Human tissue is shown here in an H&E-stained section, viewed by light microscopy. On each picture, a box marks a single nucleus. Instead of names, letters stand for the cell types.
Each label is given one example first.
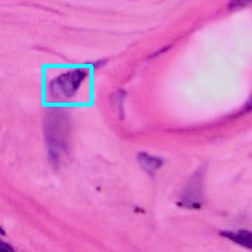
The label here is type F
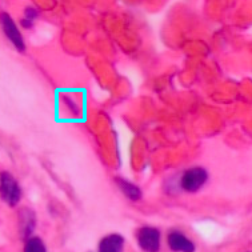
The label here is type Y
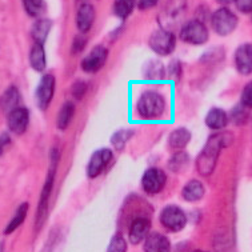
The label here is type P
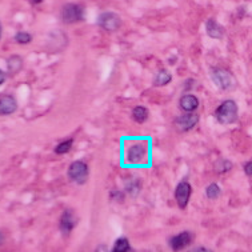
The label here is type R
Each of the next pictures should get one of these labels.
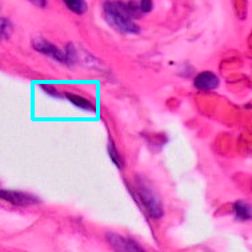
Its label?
type Y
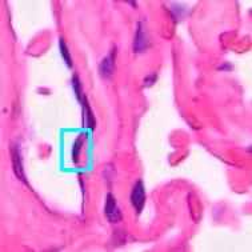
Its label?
type Y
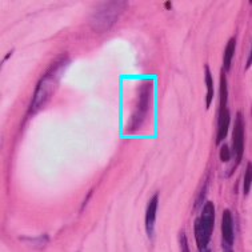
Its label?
type Y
